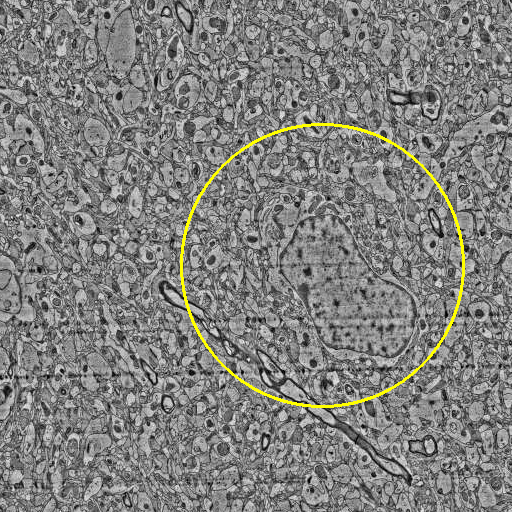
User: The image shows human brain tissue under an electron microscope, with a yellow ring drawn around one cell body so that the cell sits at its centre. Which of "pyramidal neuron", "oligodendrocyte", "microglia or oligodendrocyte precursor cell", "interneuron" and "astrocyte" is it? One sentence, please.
At the centre of the ring sits a microglial cell or oligodendrocyte precursor cell.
